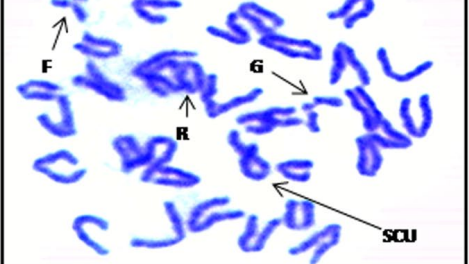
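This is a spread of condensed chromosomes from a single dividing cell, stained blue, most of them bent into U or V shapes. Among them are a few small separate pieces and short broken bits, and in the middle one chromosome appears closed into a loop-like tangle.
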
